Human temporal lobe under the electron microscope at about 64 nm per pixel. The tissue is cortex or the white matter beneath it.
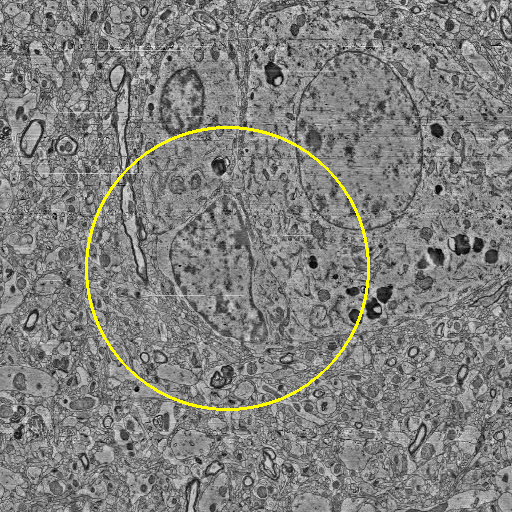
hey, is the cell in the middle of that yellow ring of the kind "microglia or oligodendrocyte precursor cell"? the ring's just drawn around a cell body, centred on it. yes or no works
yes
